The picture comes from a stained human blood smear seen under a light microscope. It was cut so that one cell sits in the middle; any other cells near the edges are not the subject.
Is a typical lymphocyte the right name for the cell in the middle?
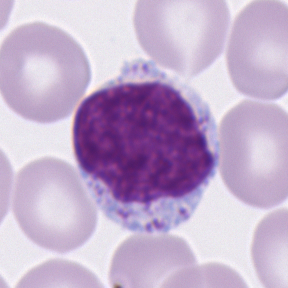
no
